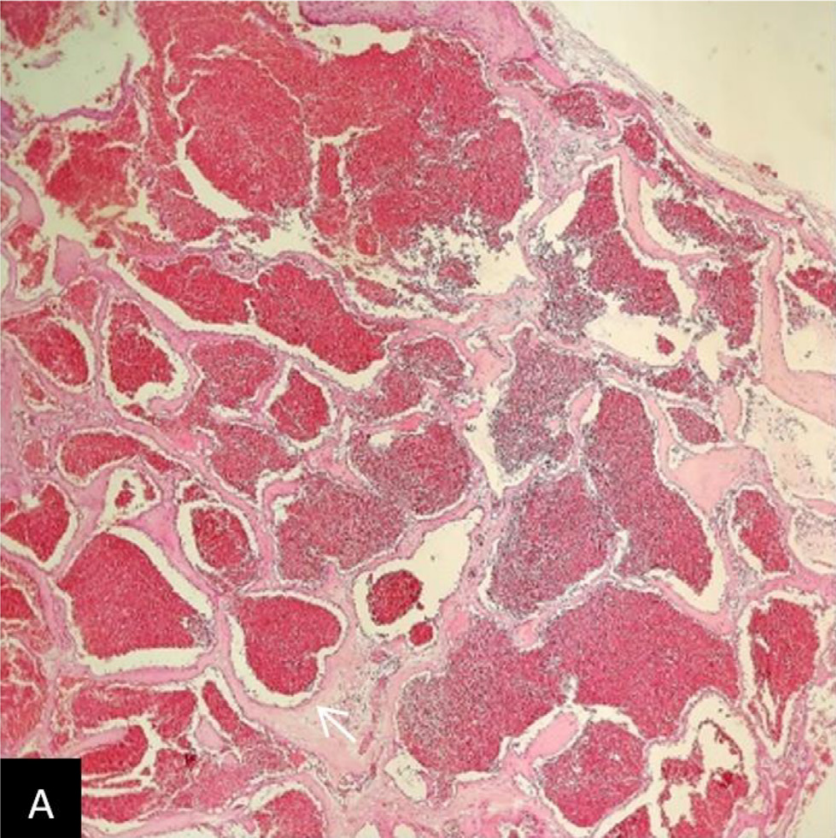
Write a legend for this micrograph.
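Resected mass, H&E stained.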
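At low power the tissue is made up almost entirely of large, irregular, closely packed spaces filled with red blood cells. Thin pink fibrous septa of varying thickness separate the spaces, giving a sponge-like pattern of dilated blood-filled vessels.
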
